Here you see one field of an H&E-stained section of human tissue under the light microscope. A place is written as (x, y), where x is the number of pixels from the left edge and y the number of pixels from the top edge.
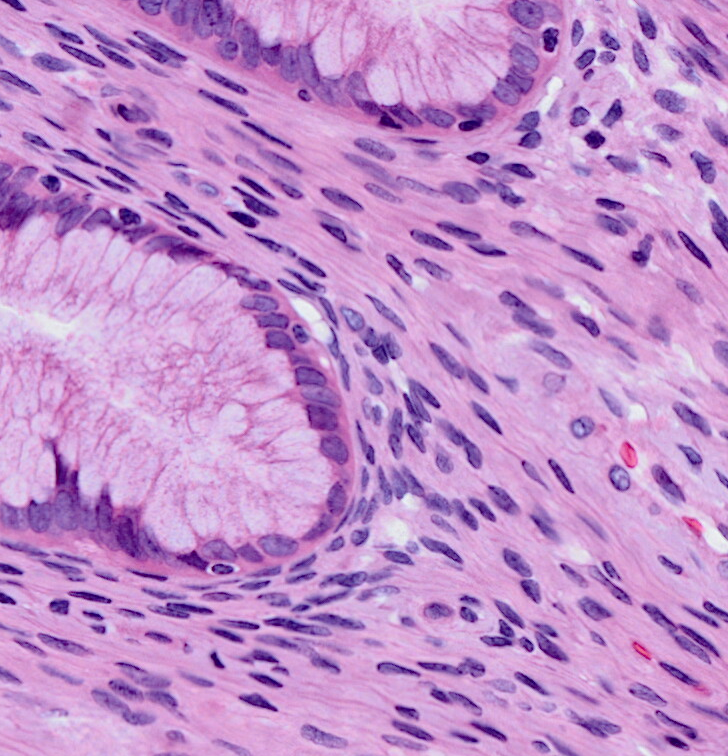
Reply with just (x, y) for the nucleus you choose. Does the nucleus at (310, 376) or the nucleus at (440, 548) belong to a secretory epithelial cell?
(310, 376)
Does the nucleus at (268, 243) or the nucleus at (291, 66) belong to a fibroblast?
(268, 243)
